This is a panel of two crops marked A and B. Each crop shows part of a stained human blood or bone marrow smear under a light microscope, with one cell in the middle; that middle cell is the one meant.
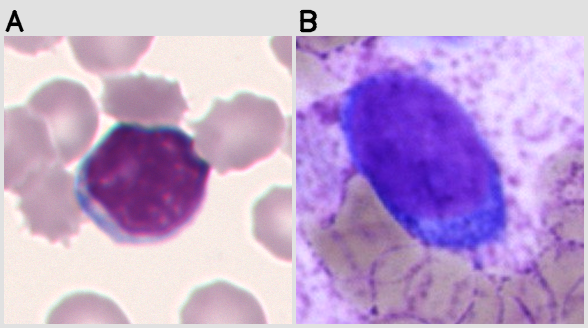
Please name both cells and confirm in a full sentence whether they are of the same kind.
No, in crop A there is a lymphocyte, and in crop B there is a blast.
